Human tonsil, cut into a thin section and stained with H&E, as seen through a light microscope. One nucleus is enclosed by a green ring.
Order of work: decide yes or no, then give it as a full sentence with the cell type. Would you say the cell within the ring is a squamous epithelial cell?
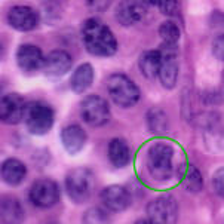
No, the cell within the ring is classed as a plasma cell, not as a squamous epithelial cell.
